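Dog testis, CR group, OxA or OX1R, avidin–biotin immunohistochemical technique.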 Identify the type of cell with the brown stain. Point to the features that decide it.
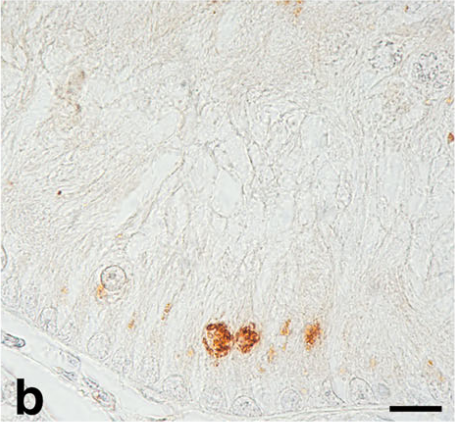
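Sertoli cells. Dense brown granule clumps sit near the base of the seminiferous epithelium. Pale columns of cytoplasm extend from the base toward the lumen.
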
